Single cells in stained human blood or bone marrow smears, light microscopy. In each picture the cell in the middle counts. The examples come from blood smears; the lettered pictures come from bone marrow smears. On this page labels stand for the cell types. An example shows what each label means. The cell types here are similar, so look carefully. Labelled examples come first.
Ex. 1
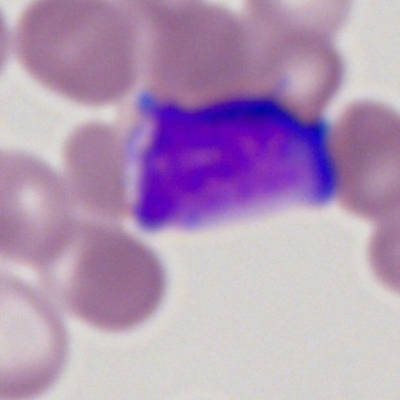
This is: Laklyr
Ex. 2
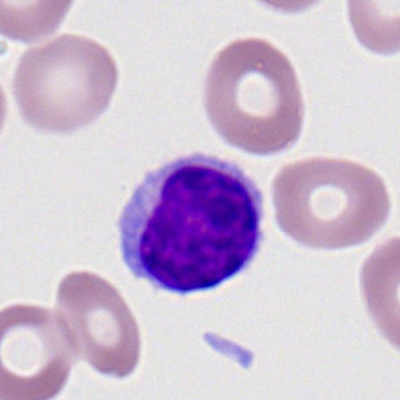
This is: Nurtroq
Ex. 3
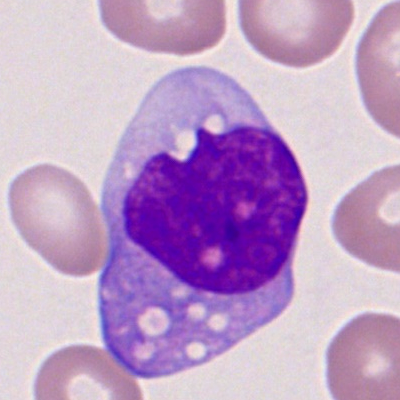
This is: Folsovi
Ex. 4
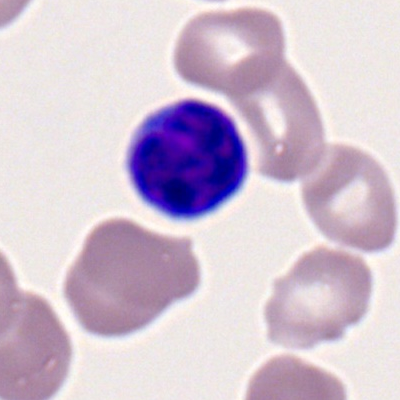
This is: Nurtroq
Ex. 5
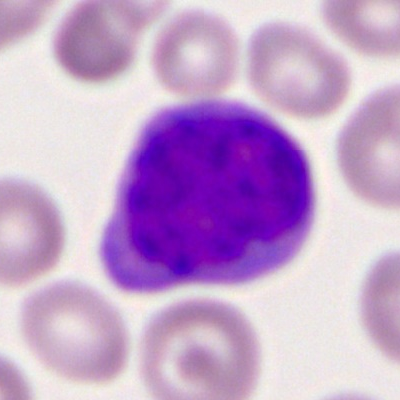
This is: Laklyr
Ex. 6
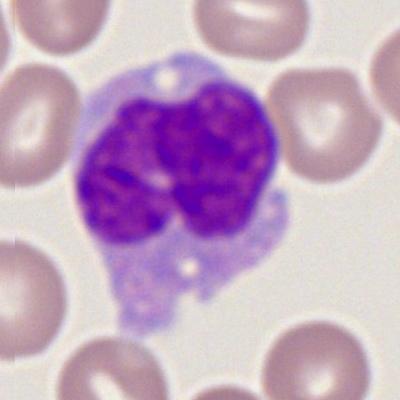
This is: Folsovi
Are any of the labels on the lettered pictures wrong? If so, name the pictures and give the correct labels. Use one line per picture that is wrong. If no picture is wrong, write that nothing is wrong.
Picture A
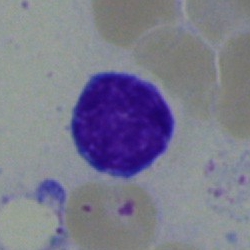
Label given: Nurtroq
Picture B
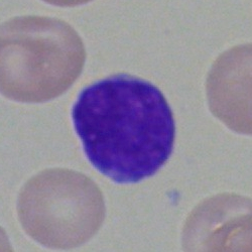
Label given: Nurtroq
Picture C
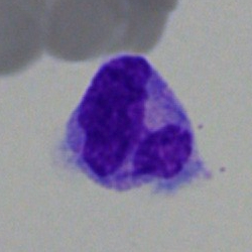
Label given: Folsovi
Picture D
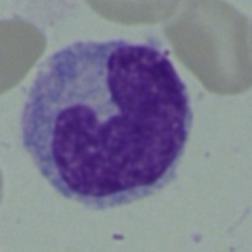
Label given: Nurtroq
D should be Folsovi, not Nurtroq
